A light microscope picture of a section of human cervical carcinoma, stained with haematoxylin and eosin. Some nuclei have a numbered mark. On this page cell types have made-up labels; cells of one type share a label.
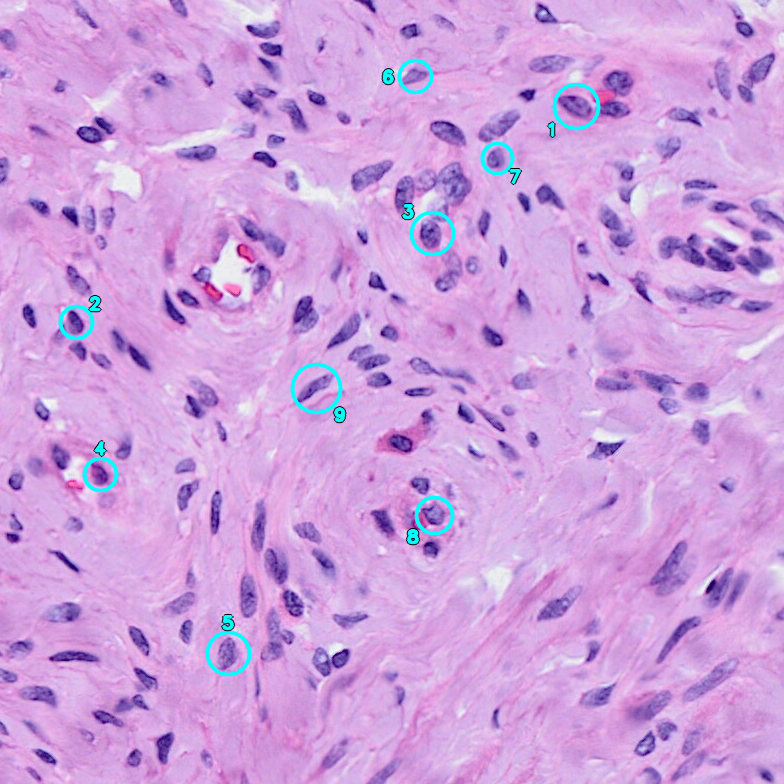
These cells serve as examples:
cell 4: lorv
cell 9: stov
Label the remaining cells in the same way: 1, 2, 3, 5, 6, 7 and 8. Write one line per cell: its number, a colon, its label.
1: lorv
2: stov
3: lorv
5: stov
6: stov
7: stov
8: lorv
